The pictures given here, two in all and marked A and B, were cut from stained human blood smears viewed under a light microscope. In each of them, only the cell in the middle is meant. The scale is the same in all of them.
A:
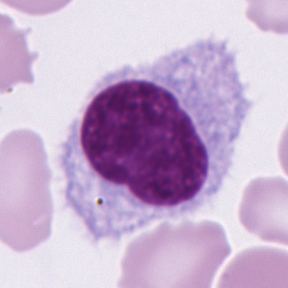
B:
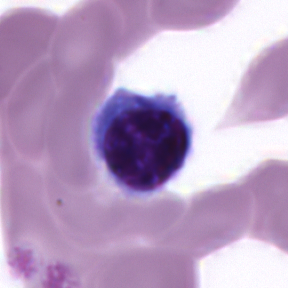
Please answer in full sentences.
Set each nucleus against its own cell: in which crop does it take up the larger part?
Of the two, the nucleus in crop B makes up the greater part of its cell.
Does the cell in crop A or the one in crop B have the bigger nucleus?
Crop A shows the larger nucleus; it covers about 2 times the area of the nucleus in crop B.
